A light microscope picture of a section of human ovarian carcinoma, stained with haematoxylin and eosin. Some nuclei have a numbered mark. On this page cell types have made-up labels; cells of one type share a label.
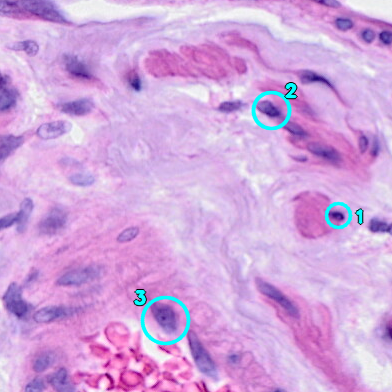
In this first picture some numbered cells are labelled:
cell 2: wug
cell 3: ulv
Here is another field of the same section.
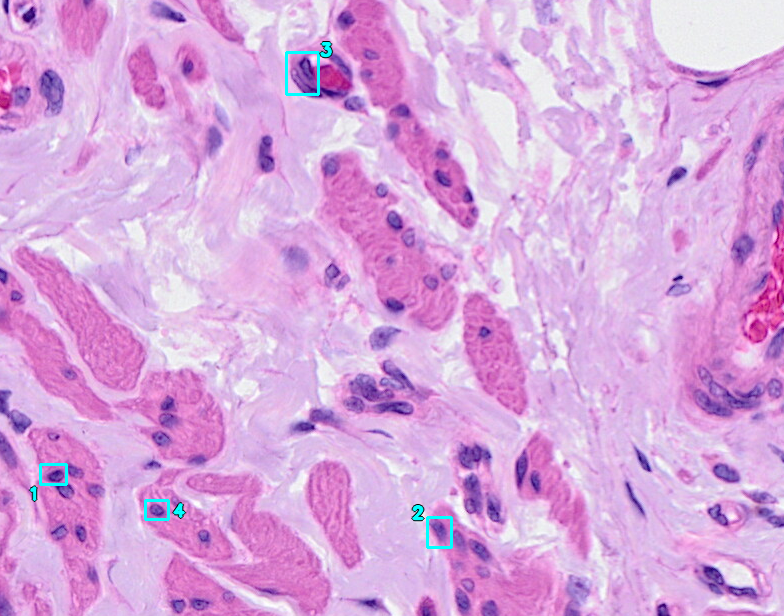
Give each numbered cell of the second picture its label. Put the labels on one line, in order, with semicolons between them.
wug; wug; ulv; wug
